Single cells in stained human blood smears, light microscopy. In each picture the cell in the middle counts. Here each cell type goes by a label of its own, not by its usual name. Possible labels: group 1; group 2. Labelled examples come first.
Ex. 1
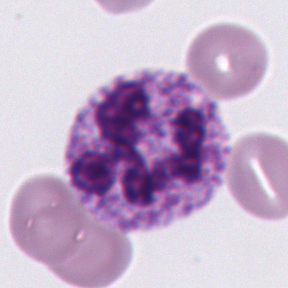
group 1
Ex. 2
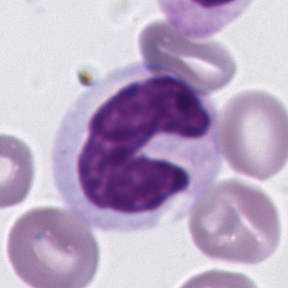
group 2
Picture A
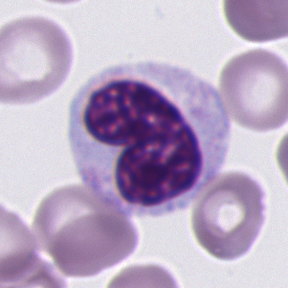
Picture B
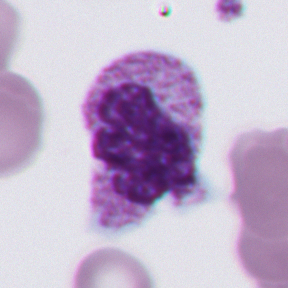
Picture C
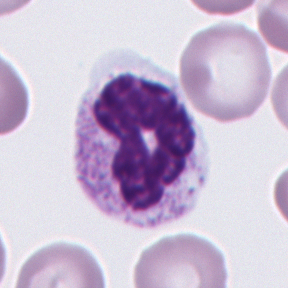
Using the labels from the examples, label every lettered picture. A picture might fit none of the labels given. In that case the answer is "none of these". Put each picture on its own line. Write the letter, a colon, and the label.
A: group 2
B: group 1
C: group 1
